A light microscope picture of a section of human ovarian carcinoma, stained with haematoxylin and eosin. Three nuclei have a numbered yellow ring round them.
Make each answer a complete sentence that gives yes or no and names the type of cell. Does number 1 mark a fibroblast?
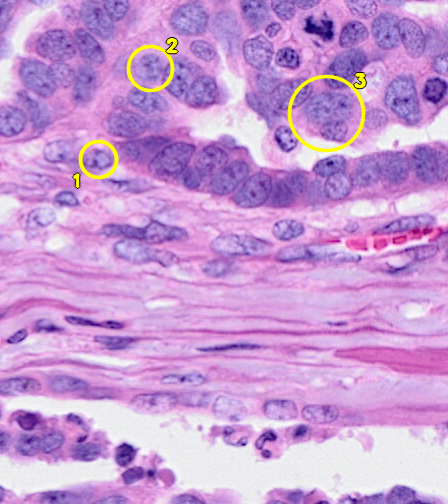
Yes, the cell that number 1 points to is a fibroblast.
